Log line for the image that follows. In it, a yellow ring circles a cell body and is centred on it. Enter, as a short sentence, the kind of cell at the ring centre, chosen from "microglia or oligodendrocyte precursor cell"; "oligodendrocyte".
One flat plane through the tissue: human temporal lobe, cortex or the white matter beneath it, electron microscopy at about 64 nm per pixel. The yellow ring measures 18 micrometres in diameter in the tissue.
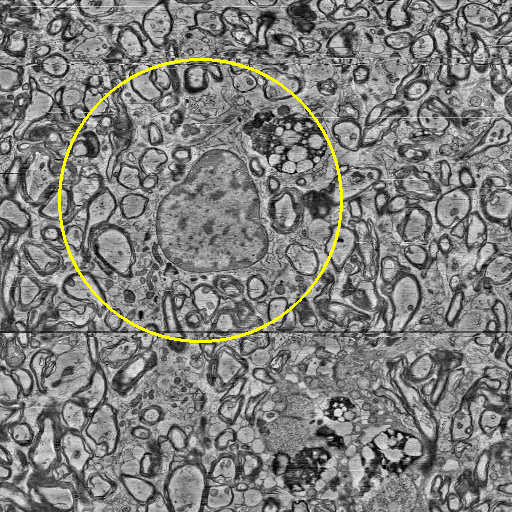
The ring centre is occupied by a microglial cell or oligodendrocyte precursor cell.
